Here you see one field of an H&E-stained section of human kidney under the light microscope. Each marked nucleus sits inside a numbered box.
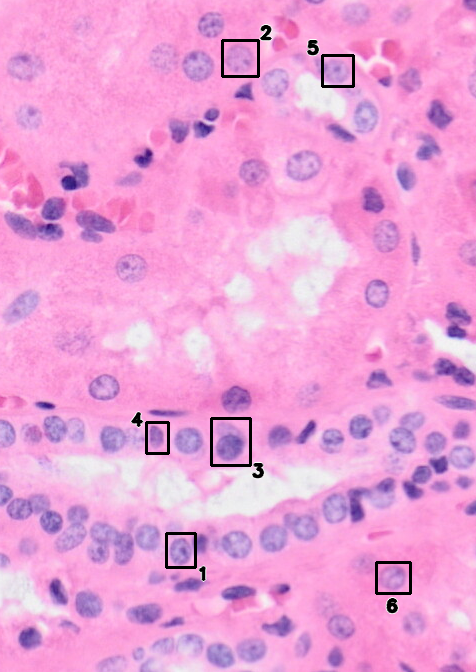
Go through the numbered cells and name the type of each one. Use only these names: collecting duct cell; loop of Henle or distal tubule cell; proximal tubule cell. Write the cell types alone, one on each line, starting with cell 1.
collecting duct cell
proximal tubule cell
collecting duct cell
collecting duct cell
collecting duct cell
proximal tubule cell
